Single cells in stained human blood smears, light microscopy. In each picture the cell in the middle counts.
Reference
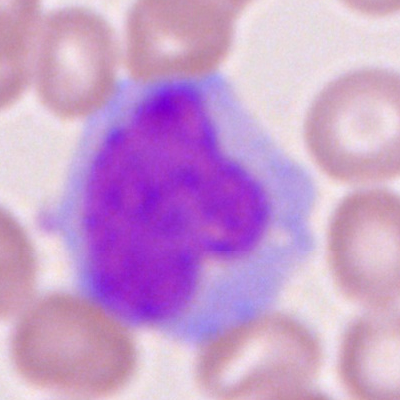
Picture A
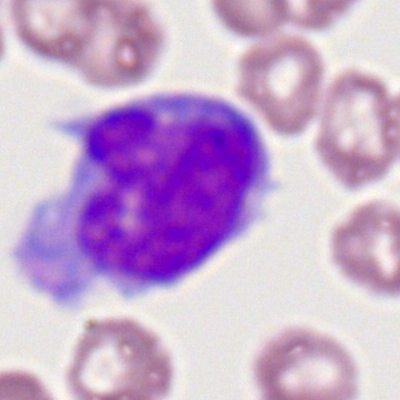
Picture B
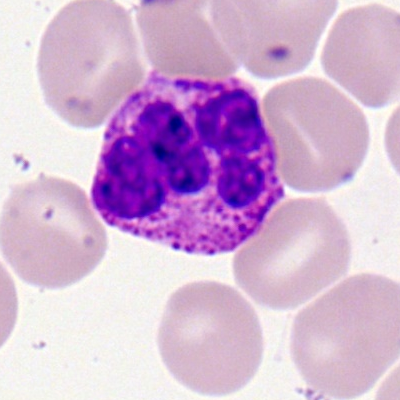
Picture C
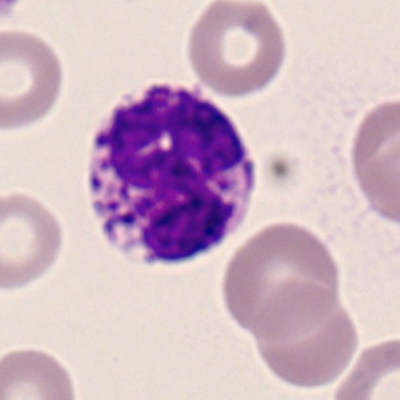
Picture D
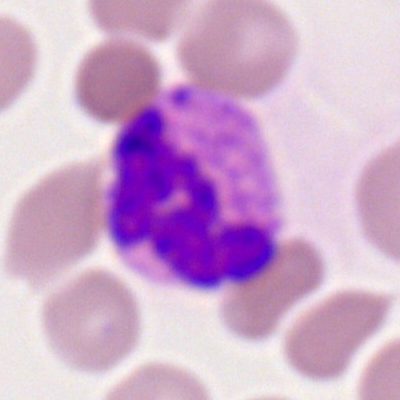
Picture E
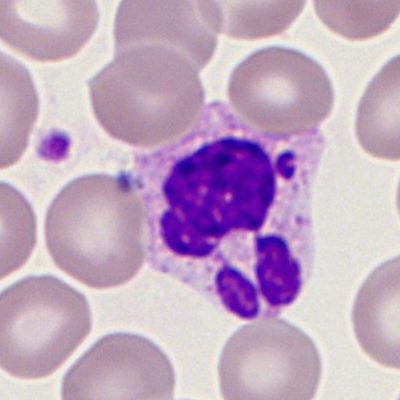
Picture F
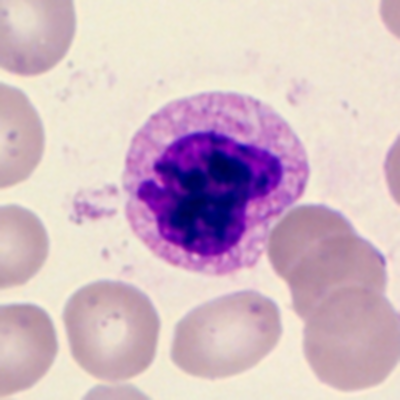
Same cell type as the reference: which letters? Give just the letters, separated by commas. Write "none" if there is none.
A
